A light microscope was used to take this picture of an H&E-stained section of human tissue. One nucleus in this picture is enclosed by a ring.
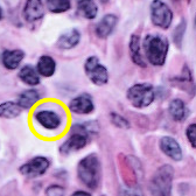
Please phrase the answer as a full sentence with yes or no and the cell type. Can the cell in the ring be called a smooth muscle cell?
No, the cell in the ring is not a smooth muscle cell but a lymphocyte.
